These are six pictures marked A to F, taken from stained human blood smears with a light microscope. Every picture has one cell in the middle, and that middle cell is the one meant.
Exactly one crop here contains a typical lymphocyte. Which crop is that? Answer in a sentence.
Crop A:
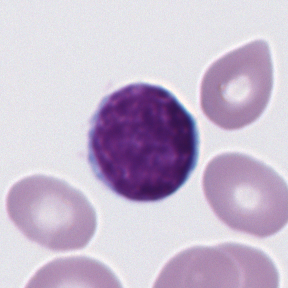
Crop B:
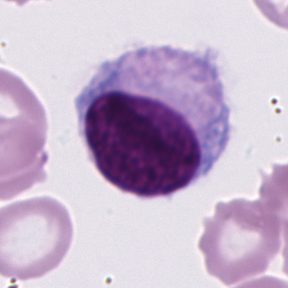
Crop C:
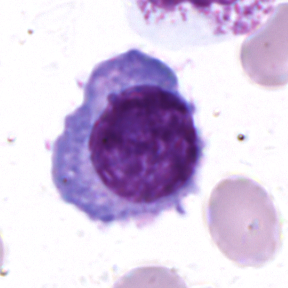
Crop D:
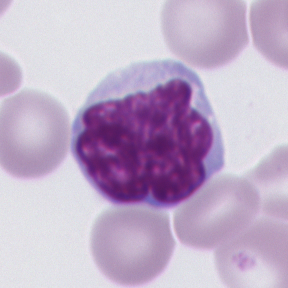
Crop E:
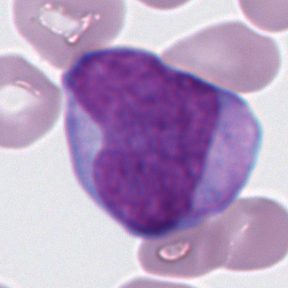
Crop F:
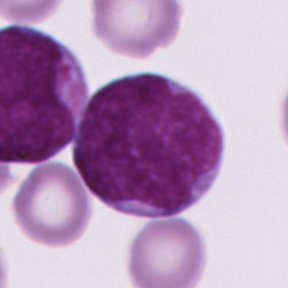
The crop with a typical lymphocyte at its center is crop A.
